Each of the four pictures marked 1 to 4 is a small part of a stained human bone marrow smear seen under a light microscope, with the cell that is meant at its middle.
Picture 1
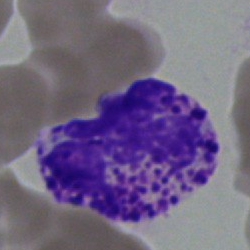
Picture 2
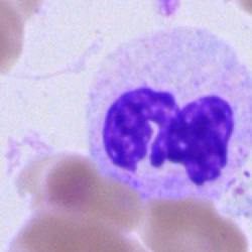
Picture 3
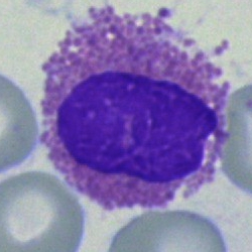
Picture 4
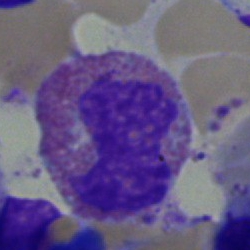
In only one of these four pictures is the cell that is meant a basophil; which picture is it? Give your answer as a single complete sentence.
The basophil is the one in picture 1.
